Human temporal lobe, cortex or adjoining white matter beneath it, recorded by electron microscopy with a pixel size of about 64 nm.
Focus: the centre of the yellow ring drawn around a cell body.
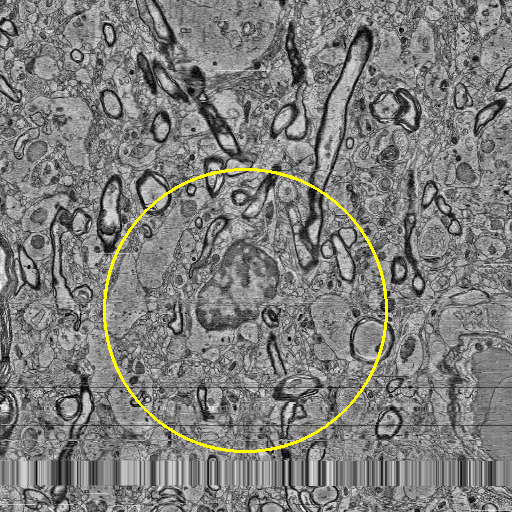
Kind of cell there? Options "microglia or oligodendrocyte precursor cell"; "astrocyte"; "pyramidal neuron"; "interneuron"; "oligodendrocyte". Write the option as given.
microglia or oligodendrocyte precursor cell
